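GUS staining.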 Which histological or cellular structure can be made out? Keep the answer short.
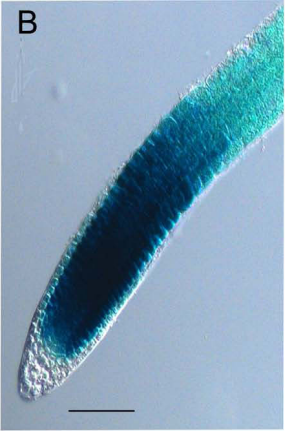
root tip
